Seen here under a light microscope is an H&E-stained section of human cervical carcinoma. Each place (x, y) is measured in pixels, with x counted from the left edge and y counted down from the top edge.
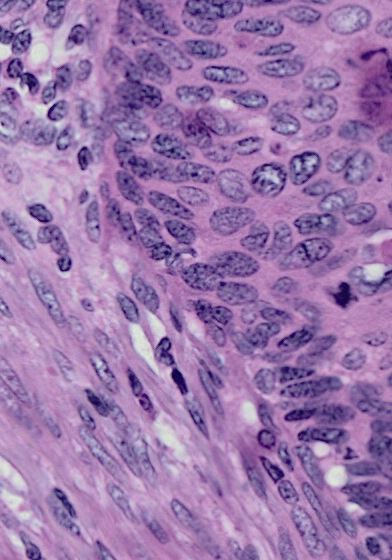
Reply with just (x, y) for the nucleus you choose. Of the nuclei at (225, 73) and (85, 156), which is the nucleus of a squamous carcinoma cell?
(225, 73)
